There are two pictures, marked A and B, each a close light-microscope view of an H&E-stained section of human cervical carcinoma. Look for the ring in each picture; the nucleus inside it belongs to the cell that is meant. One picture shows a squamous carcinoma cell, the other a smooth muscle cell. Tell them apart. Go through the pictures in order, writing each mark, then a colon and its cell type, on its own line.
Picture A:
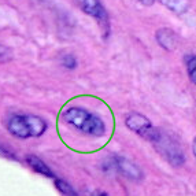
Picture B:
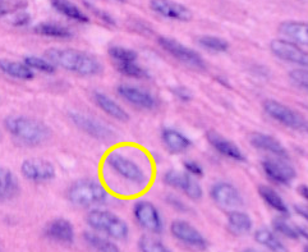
A: smooth muscle cell
B: squamous carcinoma cell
